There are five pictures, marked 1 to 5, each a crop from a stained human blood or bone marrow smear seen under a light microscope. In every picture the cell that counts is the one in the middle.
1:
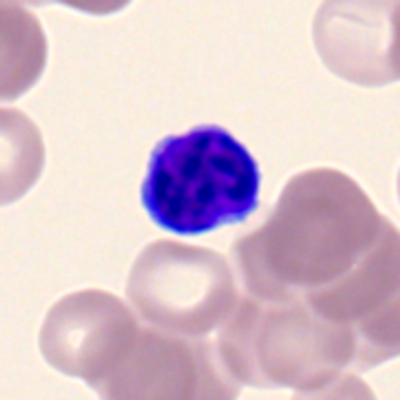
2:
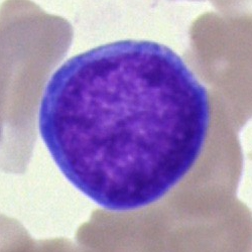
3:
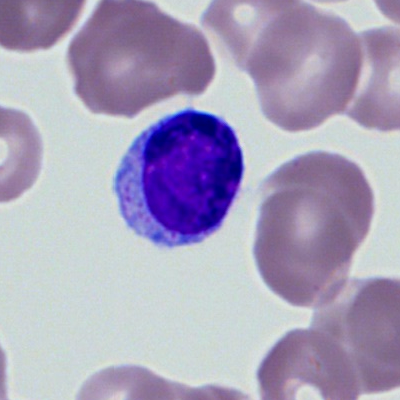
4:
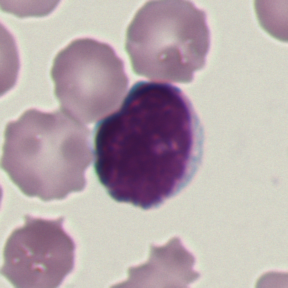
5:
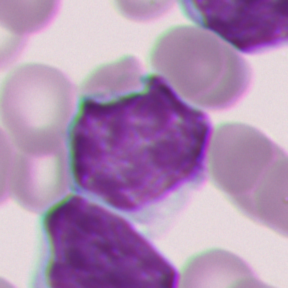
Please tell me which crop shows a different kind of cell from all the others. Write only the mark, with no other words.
2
